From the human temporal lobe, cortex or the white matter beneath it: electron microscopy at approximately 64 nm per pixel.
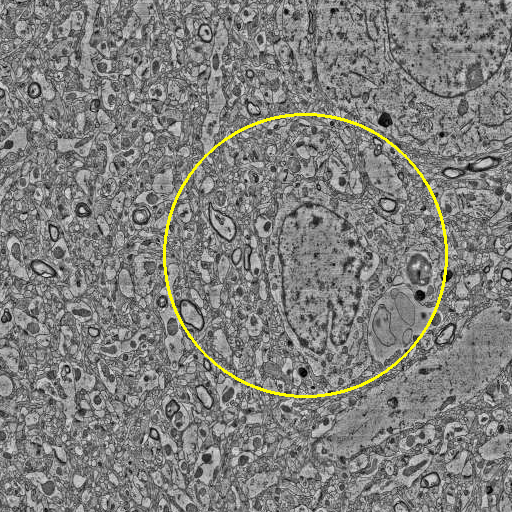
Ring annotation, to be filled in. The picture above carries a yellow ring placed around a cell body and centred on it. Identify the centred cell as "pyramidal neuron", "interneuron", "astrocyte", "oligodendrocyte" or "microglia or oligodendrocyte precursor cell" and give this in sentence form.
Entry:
The cell in the middle of the ring is an interneuron.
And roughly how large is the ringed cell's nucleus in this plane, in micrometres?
In this plane, approximately 9 by 6 micrometers.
